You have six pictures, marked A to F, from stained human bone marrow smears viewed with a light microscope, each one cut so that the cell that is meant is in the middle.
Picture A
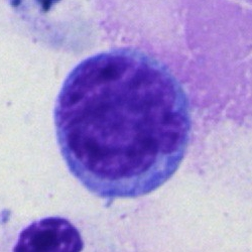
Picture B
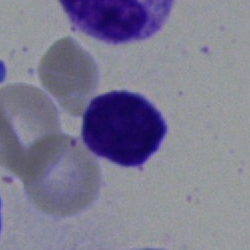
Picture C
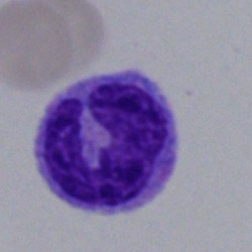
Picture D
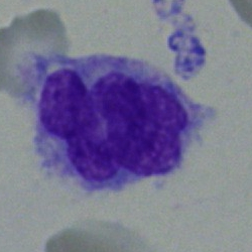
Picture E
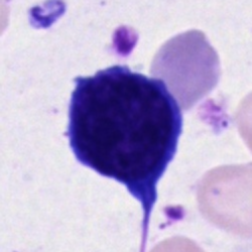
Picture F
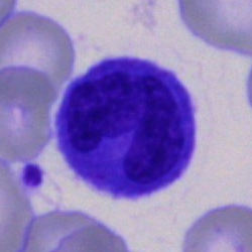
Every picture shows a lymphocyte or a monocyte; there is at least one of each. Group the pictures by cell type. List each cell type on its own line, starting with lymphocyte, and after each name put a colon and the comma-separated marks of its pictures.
lymphocyte: B, E
monocyte: A, C, D, F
